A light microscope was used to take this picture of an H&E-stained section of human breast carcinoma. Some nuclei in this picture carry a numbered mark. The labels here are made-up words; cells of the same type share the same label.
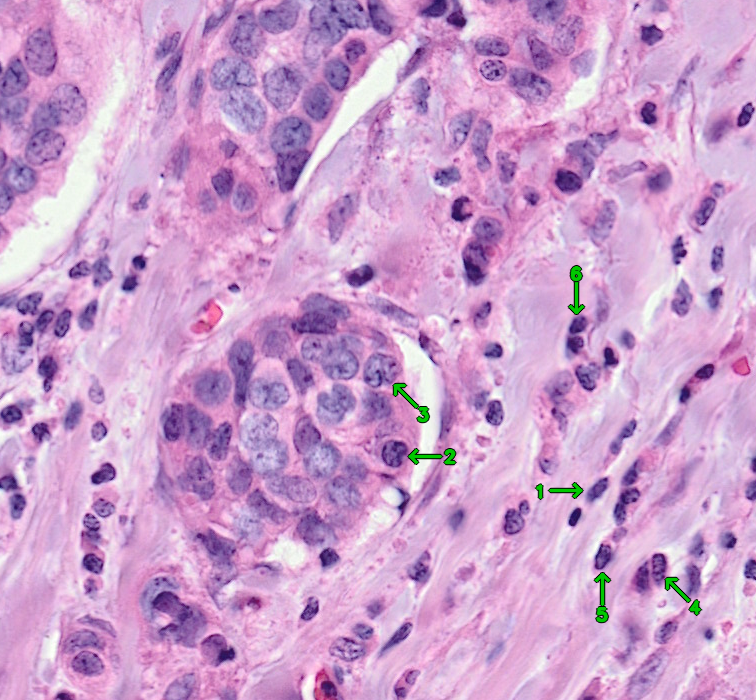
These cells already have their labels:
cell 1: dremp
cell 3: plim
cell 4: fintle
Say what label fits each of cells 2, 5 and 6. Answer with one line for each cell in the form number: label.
2: plim
5: dremp
6: dremp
